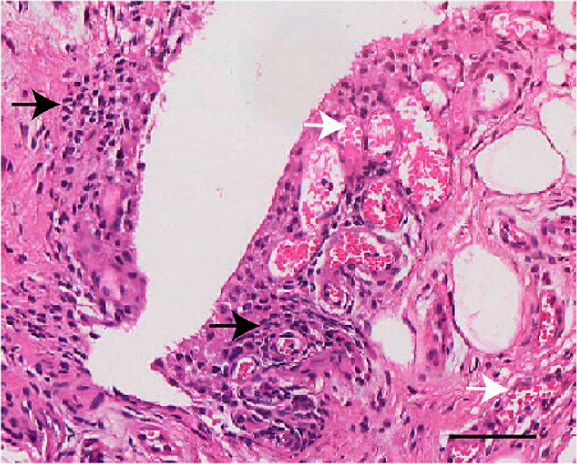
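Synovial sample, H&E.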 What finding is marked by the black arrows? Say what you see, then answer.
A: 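Inflammatory cells infiltration. Dense clusters of small cells with dark round nuclei and scant cytoplasm. The crowded cells lie at and beneath the tissue surface.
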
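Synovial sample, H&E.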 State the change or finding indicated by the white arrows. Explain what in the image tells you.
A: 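Vascular proliferation. Many closely packed small vessel lumina filled with red blood cells. The vessels are lined by flat cells with dark nuclei.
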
